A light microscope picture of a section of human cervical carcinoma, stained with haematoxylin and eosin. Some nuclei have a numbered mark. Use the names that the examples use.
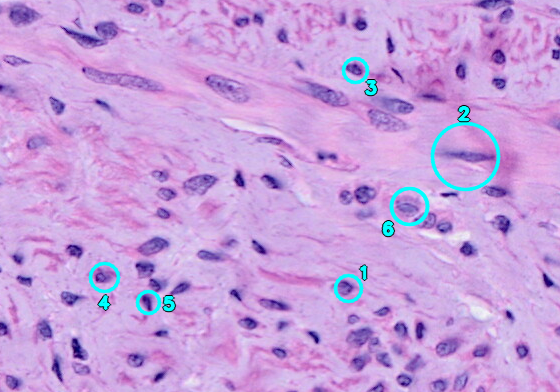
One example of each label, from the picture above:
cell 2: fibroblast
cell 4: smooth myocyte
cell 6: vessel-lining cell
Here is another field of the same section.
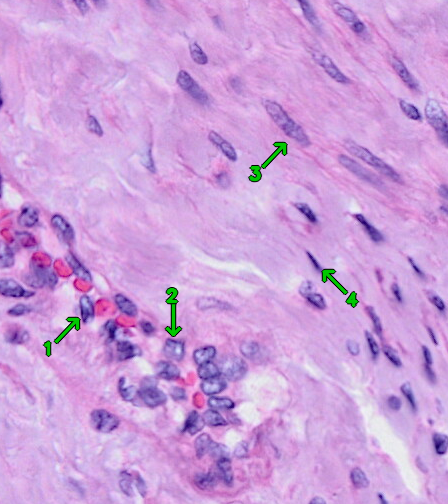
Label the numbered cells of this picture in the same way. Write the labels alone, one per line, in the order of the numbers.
vessel-lining cell
vessel-lining cell
smooth myocyte
fibroblast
